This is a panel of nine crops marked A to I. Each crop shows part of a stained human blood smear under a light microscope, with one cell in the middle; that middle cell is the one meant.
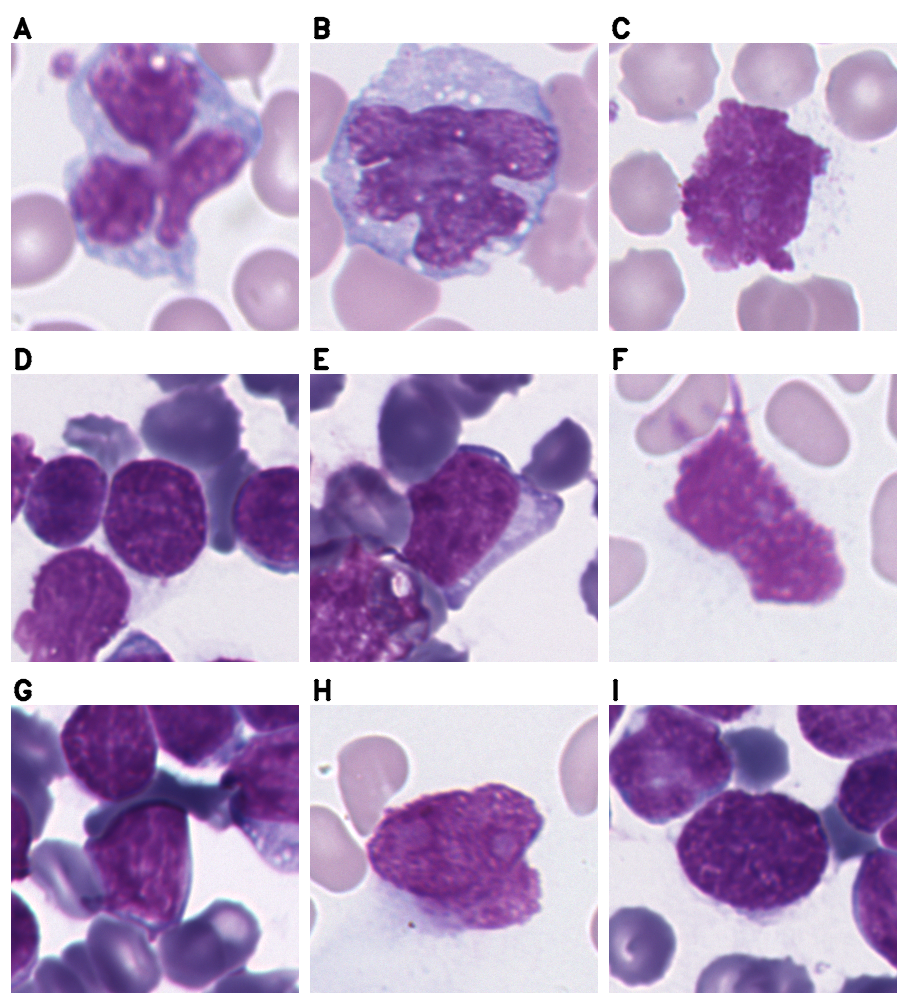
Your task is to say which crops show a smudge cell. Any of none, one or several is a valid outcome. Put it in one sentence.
The central cells of crops C, F and H fall into the category of smudge cells.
